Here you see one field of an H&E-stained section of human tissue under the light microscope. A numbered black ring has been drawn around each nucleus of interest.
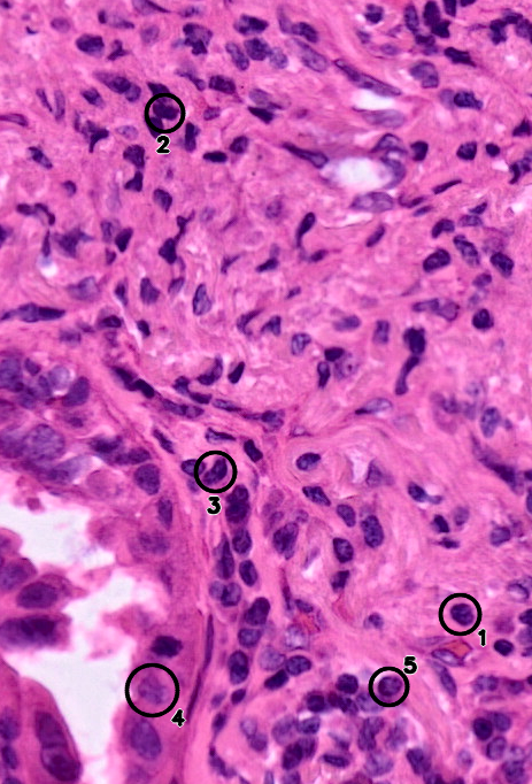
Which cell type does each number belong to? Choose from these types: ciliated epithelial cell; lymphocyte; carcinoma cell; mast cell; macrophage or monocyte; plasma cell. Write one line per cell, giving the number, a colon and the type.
1: lymphocyte
2: plasma cell
3: plasma cell
4: carcinoma cell
5: plasma cell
